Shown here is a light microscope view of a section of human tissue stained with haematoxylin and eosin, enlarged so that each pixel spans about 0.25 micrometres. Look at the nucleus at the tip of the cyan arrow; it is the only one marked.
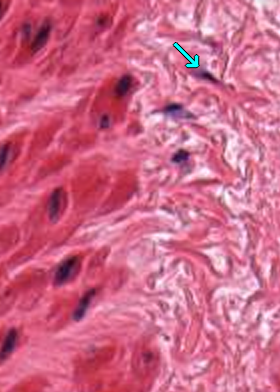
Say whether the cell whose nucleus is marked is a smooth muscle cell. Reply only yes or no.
no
